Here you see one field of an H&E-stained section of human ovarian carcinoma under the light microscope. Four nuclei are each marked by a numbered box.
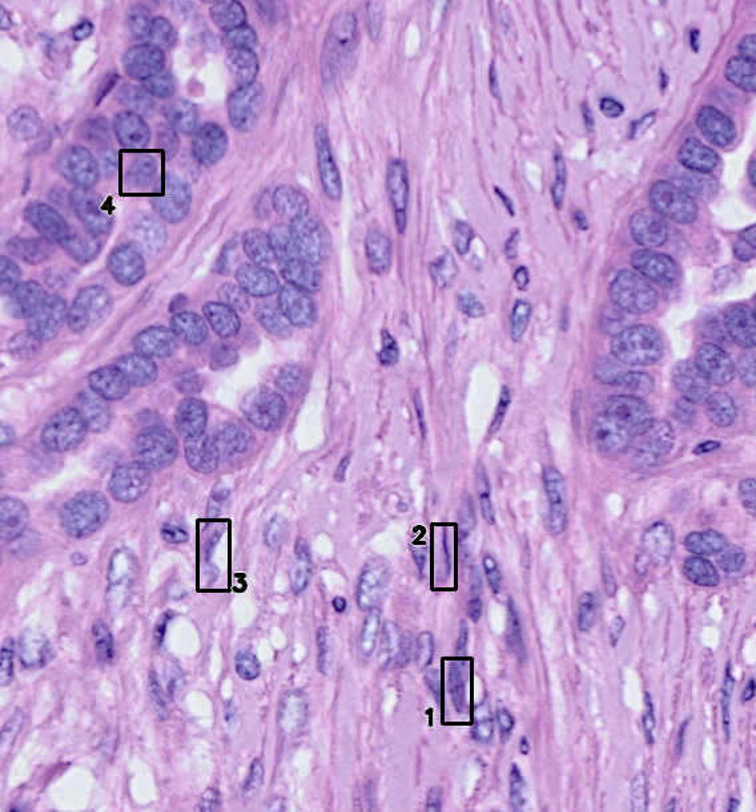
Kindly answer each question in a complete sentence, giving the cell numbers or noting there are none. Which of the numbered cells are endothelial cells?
Each of the numbered cells is a cell other than one of the endothelial cells.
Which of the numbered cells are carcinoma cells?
The one cell that is a carcinoma cell is cell 4, and no other.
